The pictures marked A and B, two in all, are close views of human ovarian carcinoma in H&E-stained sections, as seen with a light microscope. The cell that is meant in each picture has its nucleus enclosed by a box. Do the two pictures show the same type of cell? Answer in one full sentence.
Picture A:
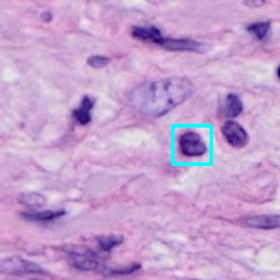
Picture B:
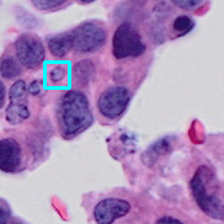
No. Picture A shows a lymphocyte, but picture B shows a “macrophage or monocyte”.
